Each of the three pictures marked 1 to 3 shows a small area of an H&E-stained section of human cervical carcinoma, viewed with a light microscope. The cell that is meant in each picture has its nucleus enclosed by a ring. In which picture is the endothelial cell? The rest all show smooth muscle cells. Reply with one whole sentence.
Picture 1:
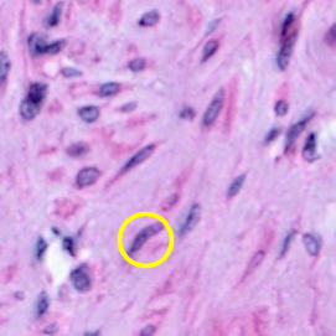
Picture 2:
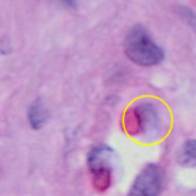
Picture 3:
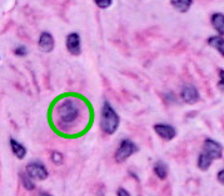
The picture with the endothelial cell is 2.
